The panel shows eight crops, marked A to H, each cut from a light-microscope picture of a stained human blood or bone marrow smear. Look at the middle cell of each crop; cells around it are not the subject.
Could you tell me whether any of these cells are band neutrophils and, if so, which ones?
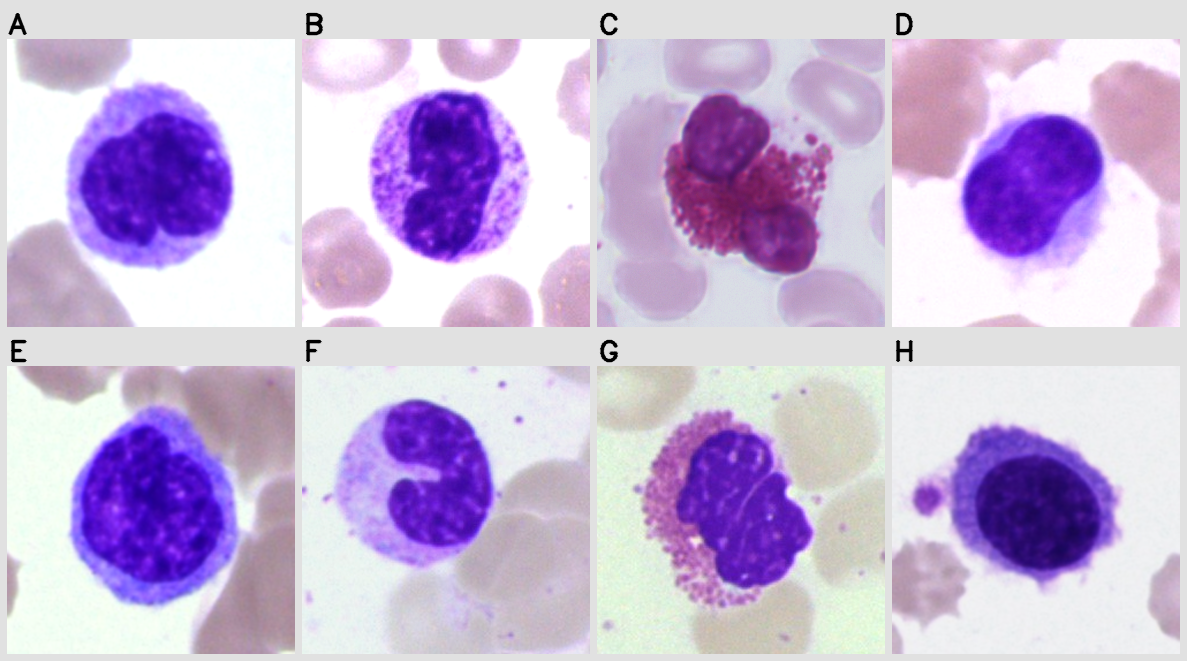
F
